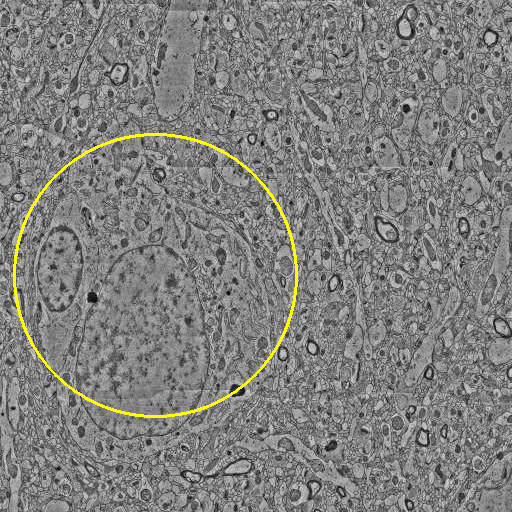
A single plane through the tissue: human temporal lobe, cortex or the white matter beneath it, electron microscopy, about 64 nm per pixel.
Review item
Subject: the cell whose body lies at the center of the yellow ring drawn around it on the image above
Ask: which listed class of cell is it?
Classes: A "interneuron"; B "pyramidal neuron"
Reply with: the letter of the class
A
